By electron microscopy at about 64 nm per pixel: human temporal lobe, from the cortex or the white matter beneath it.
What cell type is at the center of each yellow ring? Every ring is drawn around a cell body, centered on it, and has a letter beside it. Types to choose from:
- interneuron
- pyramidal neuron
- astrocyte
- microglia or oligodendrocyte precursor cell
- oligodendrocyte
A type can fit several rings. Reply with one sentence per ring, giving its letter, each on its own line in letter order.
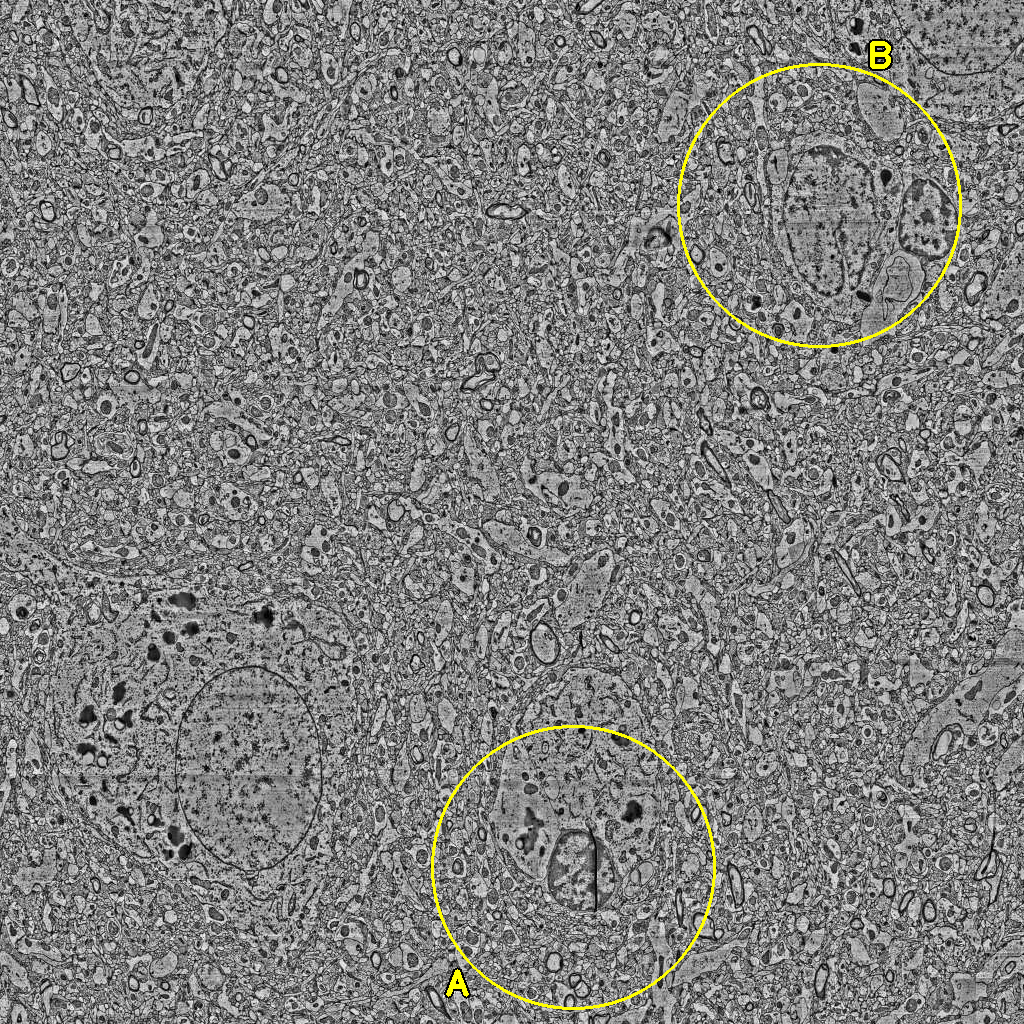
Ring A is placed around an oligodendrocyte.
Ring B is placed around an interneuron.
